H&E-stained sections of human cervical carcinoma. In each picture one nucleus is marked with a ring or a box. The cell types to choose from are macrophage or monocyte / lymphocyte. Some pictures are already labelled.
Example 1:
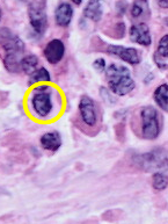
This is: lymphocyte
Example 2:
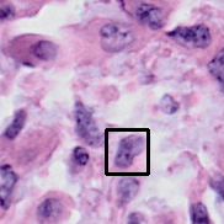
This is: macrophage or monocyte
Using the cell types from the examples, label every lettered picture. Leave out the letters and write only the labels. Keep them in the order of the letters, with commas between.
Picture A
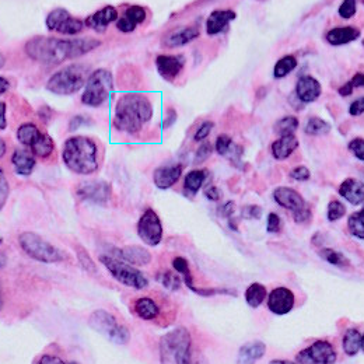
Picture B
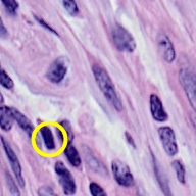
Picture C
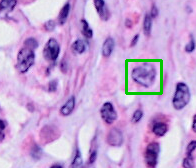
macrophage or monocyte, lymphocyte, macrophage or monocyte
